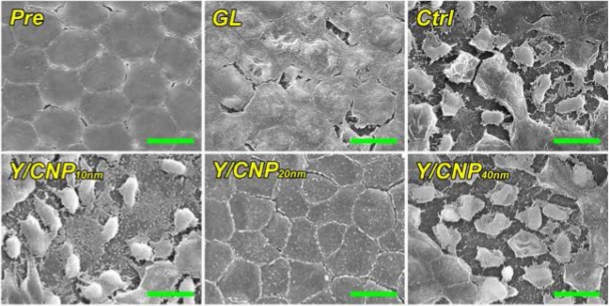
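These scanning electron micrographs show the surface of the corneal endothelium as a single layer of flat cells, seen in six tiles. In some tiles the cells are regular polygons, mostly six-sided, closely fitted together with thin, slightly raised borders and a smooth surface. In other tiles the continuous sheet is lost: gaps open between cells, and many cells are shrunken, curled or lifted at their edges, lying as separate flakes on a rough, granular underlying surface.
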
